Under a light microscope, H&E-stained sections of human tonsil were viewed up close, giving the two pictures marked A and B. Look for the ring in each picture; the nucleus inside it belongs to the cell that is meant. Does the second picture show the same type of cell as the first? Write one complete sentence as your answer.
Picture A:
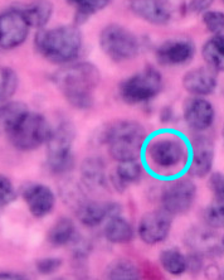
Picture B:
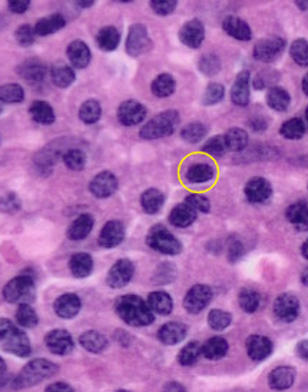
No; the cell in picture A is a proliferating B cell, while the one in picture B is a plasma cell.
